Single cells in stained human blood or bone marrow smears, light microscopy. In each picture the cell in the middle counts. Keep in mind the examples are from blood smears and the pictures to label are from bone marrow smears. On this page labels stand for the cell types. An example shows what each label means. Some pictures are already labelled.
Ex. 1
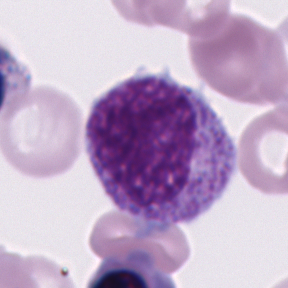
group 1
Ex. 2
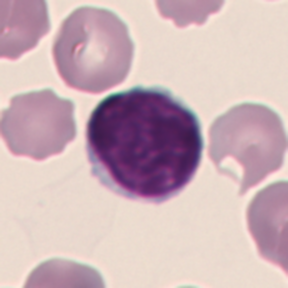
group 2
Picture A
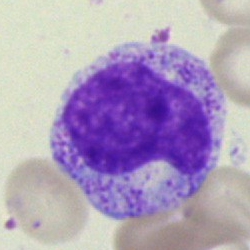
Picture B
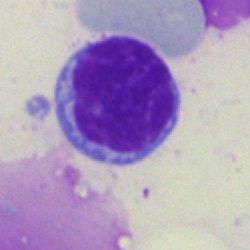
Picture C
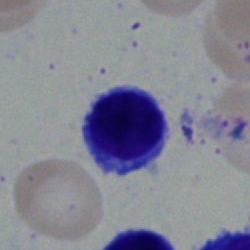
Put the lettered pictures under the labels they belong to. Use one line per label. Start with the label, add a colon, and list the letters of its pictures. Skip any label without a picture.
group 1: A
group 2: B, C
